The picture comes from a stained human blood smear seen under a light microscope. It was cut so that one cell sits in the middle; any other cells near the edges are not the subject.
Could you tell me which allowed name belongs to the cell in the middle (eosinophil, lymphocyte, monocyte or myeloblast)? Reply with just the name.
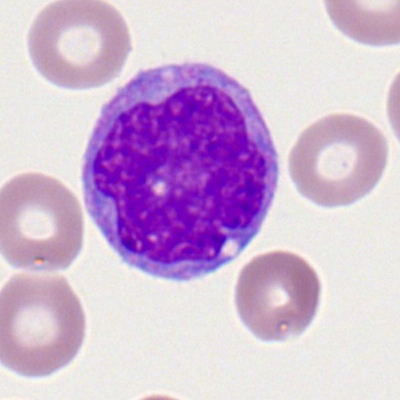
monocyte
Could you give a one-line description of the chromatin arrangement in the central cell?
Just so you know, its chromatin is coarsely clumped.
